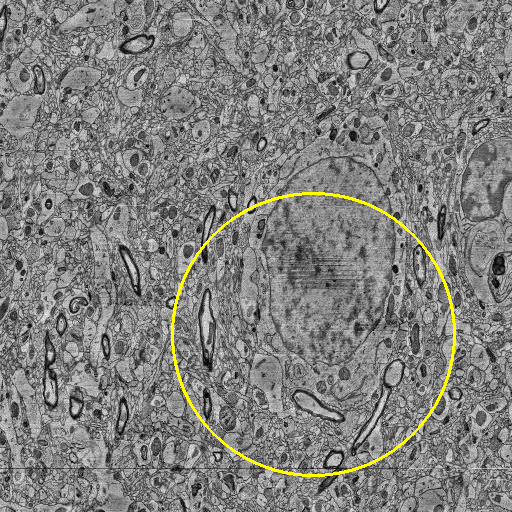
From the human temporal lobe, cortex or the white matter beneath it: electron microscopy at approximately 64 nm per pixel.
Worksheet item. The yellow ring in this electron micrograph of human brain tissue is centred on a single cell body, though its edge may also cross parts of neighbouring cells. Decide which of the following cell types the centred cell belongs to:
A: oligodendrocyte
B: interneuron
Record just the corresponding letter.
B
